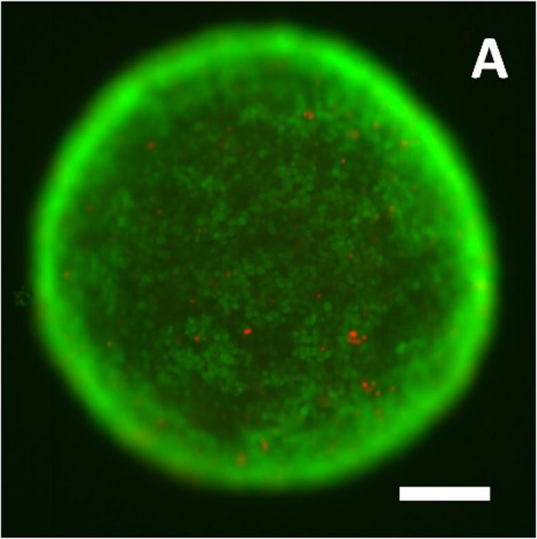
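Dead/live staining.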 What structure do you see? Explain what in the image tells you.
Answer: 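Spheroid. A round, compact mass of many small cells. Its rim fluoresces more brightly green than its interior. A few scattered red dots lie within the mass.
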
